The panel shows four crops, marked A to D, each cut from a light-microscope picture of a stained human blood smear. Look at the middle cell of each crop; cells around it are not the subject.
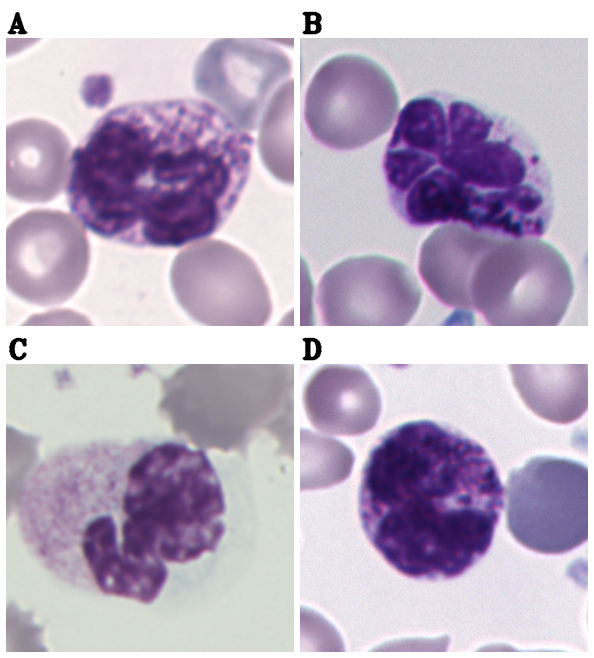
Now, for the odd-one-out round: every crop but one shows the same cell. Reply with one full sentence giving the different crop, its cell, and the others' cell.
In contrast to the other crops, all of which show basophils, crop C shows a segmented neutrophil.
